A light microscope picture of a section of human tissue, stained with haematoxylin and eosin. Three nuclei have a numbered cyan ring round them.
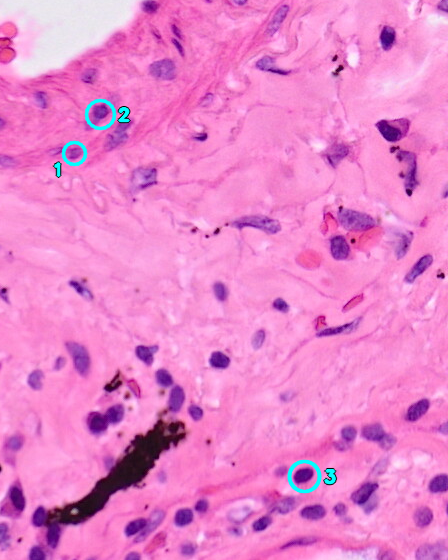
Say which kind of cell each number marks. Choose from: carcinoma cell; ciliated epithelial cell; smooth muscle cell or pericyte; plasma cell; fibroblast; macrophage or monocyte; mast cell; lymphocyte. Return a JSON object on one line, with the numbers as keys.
{"1": "smooth muscle cell or pericyte", "2": "smooth muscle cell or pericyte", "3": "lymphocyte"}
